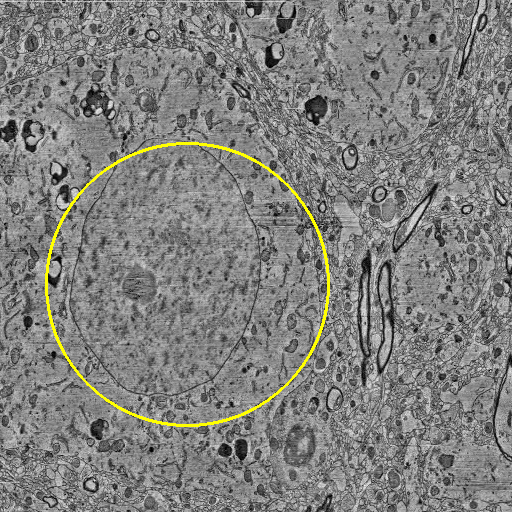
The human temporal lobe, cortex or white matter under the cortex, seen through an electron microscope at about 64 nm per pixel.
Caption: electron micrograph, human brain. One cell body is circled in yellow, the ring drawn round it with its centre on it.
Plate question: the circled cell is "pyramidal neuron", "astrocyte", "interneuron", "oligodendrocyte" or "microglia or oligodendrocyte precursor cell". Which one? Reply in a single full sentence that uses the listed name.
The yellow ring on the plate is centred on a pyramidal neuron, going by the listed names.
